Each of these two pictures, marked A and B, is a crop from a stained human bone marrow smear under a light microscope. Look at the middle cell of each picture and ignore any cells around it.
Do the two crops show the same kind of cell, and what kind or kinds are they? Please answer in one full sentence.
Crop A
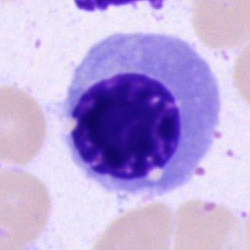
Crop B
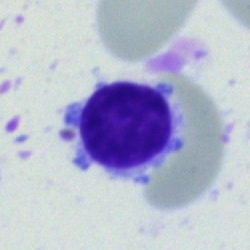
No, in this case crop A shows a normoblast, and crop B shows a lymphocyte.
